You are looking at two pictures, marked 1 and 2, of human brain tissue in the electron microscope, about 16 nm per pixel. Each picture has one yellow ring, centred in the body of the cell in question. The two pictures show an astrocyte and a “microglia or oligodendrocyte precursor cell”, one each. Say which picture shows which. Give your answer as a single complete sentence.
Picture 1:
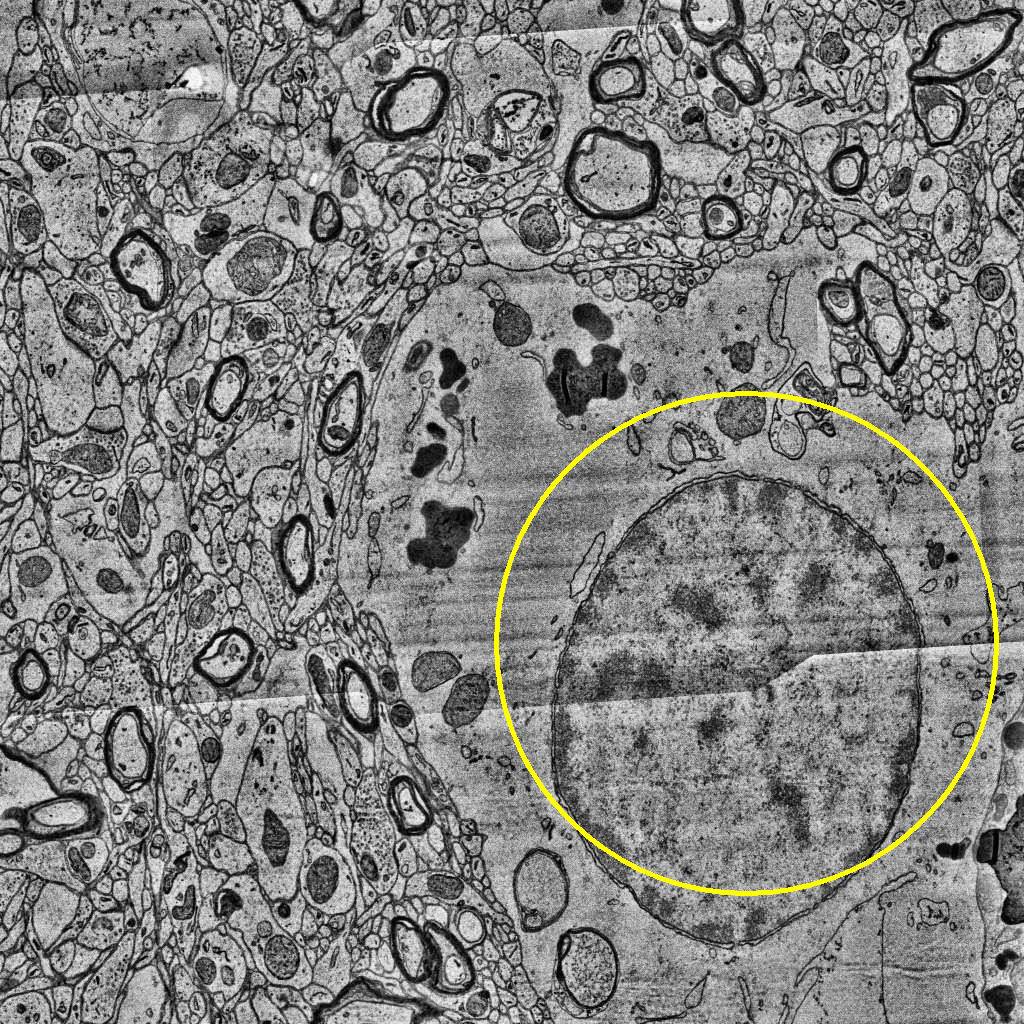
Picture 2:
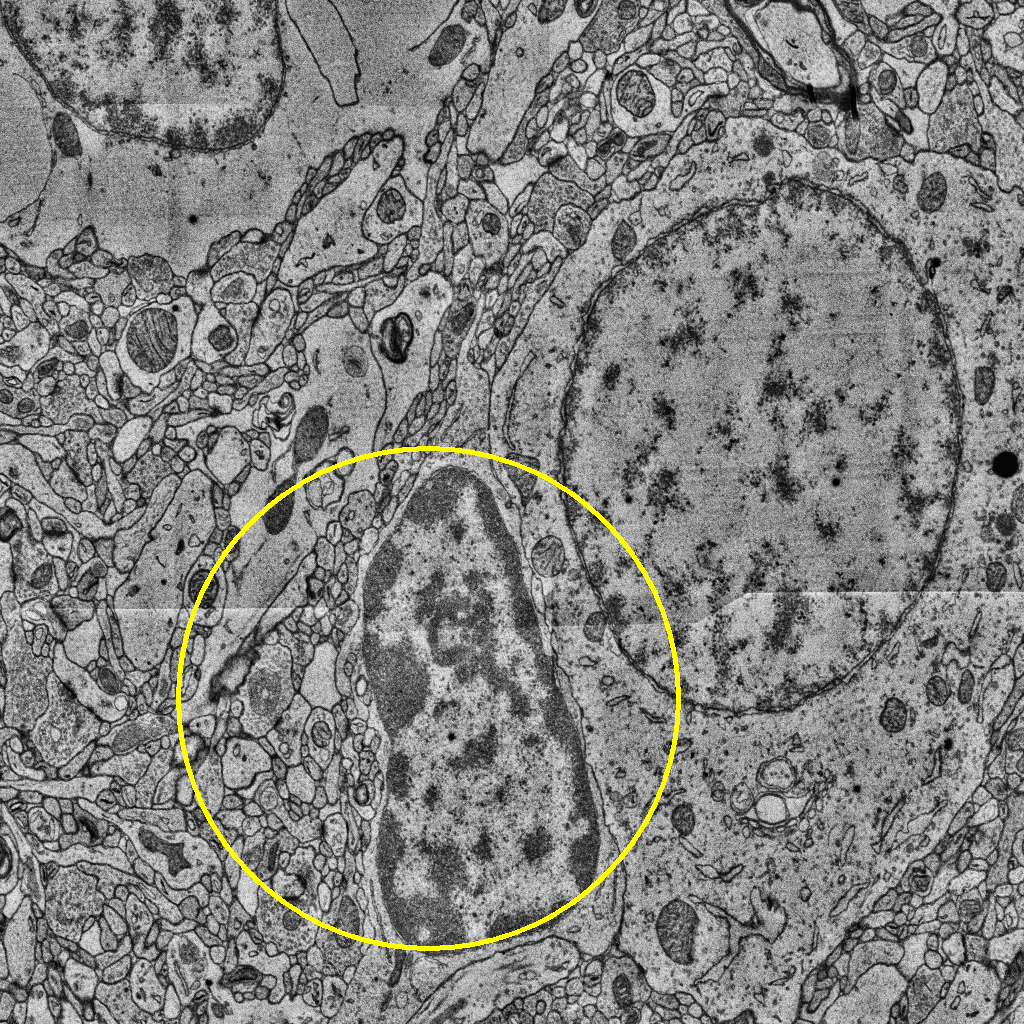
Picture 1 shows an astrocyte and picture 2 shows a “microglia or oligodendrocyte precursor cell”.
